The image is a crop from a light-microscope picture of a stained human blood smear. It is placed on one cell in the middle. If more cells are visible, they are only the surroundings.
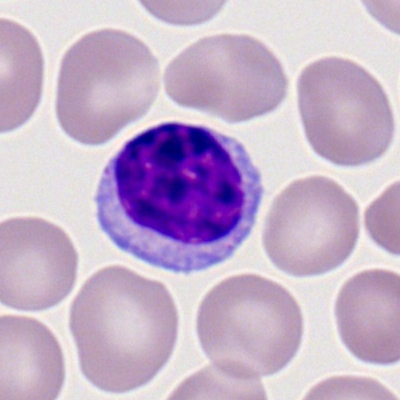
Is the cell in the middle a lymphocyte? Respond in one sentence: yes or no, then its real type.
Yes, the cell at the middle of the frame is a lymphocyte.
